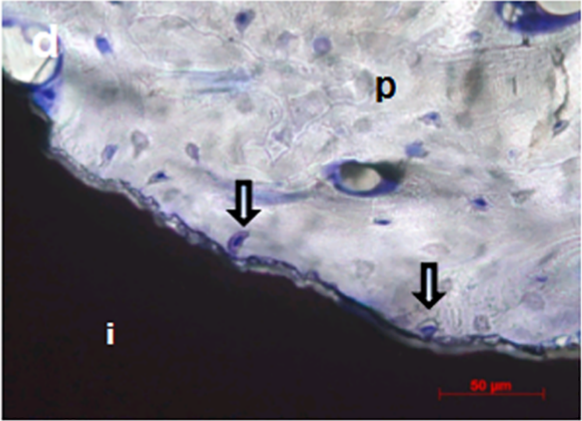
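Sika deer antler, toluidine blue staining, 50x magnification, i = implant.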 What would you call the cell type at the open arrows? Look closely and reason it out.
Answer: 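Osteocytes. Small dark blue cells sit within the pale mineralized matrix. The arrowed cells lie right at the edge of the dark implant. Similar isolated cells are scattered through the matrix.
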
